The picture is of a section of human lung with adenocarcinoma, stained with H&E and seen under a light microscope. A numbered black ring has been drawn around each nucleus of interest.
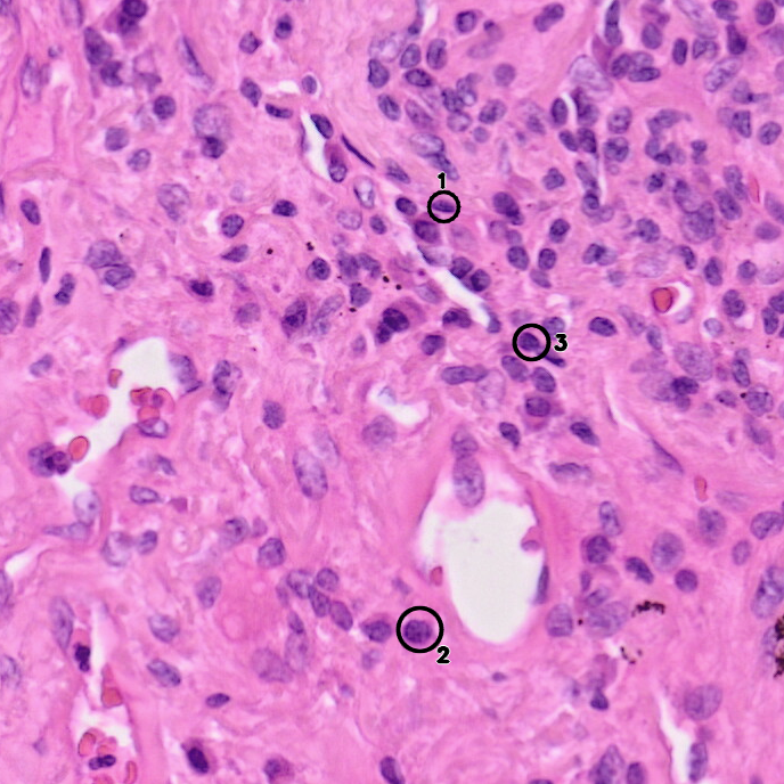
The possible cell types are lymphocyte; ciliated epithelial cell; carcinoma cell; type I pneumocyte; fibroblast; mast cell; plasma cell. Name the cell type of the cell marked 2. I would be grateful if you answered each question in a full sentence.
The cell numbered 2 represents a plasma cell.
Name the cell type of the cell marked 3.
The one numbered 3 among the marked cells is a lymphocyte.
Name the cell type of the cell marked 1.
The label 1 in this section denotes a lymphocyte.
